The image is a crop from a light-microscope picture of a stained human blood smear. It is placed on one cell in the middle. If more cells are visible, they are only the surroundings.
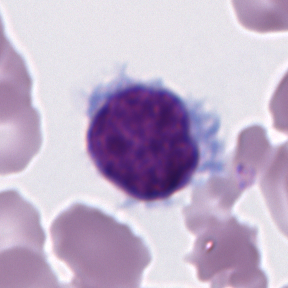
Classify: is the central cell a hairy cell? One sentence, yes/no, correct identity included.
Yes, a hairy cell is what the central cell is.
